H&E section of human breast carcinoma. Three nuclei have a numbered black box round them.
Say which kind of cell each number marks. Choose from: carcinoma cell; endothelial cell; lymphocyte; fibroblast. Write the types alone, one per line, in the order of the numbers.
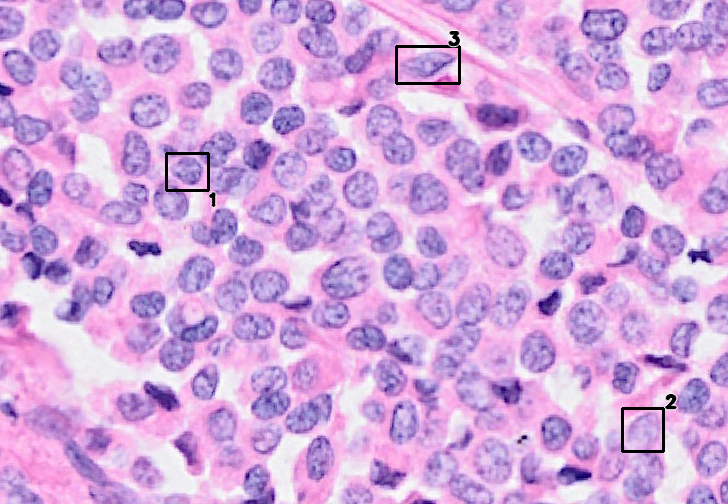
carcinoma cell
carcinoma cell
endothelial cell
